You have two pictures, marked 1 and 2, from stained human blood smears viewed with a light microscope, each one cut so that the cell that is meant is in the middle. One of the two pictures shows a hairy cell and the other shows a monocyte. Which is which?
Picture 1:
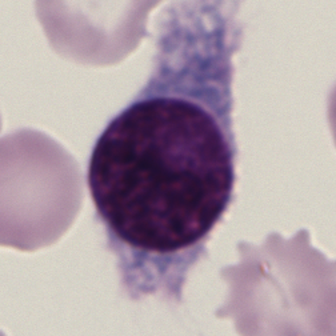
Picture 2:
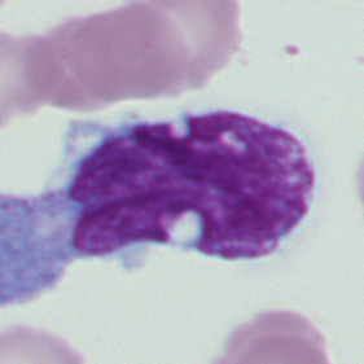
1: hairy cell
2: monocyte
